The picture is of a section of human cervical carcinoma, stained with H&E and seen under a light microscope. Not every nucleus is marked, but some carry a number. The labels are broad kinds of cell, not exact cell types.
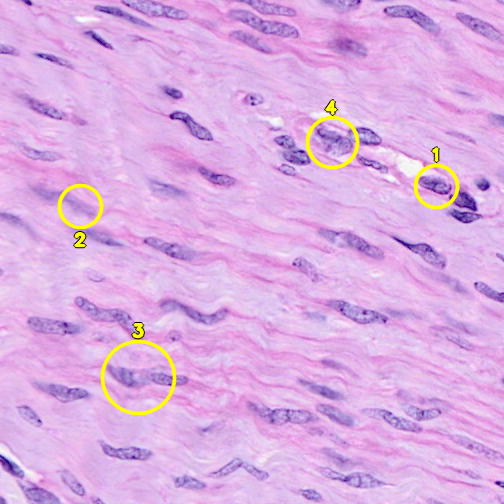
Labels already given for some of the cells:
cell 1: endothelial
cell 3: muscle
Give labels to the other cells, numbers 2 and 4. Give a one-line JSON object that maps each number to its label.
{"2": "muscle", "4": "endothelial"}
